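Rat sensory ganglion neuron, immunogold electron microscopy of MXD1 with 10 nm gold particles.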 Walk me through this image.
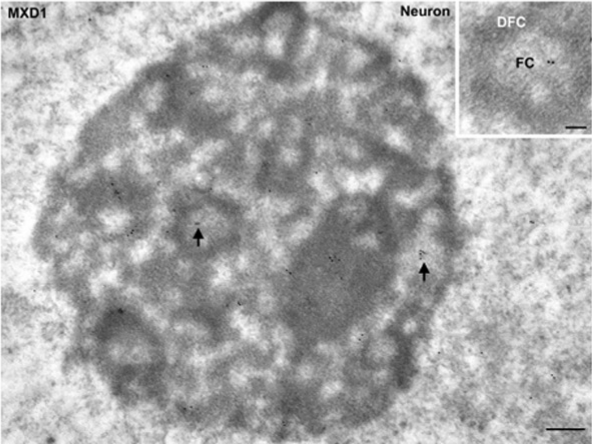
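A large round electron-dense body fills most of the field, built of a network of dark fibrillar strands around paler rounded areas, set in lighter granular nucleoplasm. Tiny black dots, marked by arrows, sit over some of the pale rounded areas and a few lie in the dark rim around them. The inset shows one pale rounded area encircled by darker fibrillar material, with a couple of black dots inside it.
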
